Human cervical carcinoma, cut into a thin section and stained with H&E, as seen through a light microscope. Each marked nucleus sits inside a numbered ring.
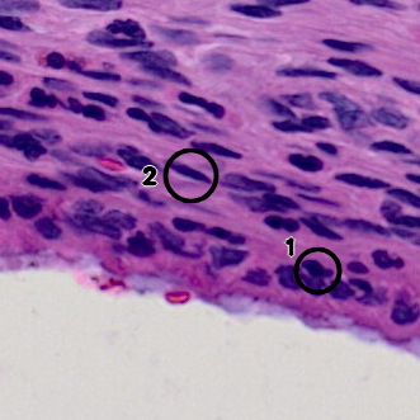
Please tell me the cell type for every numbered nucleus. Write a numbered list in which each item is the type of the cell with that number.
1. secretory epithelial cell
2. fibroblast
